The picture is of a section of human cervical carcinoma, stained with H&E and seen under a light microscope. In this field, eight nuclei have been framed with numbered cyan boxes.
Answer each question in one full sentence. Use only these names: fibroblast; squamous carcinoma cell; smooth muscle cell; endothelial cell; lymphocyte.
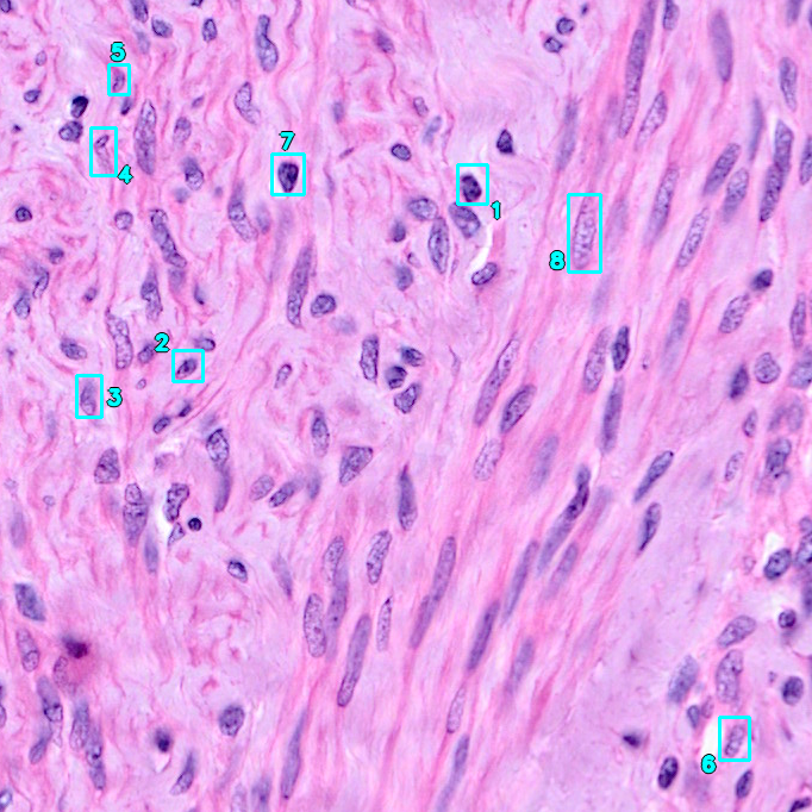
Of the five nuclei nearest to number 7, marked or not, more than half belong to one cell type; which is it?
Smooth muscle cells make up most of the five nuclei closest to number 7.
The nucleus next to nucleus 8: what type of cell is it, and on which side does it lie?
A smooth muscle cell lies closest, to the right of nucleus 8.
